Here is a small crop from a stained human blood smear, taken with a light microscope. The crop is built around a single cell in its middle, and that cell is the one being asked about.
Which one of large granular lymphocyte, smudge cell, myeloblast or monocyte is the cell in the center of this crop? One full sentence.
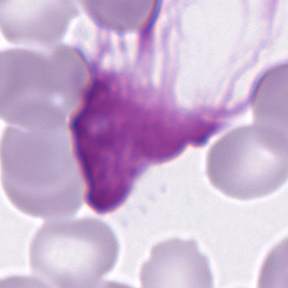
Standing at the centre of this crop is a smudge cell.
